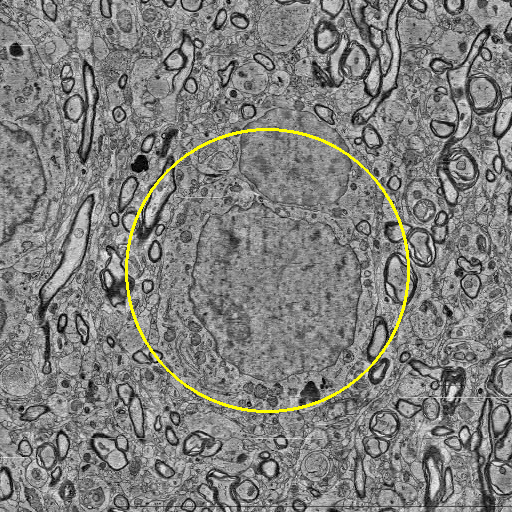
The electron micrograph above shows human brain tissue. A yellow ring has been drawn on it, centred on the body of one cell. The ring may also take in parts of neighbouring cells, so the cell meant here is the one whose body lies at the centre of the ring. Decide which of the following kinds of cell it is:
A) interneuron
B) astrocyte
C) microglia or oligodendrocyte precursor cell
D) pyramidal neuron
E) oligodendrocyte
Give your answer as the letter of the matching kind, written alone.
A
